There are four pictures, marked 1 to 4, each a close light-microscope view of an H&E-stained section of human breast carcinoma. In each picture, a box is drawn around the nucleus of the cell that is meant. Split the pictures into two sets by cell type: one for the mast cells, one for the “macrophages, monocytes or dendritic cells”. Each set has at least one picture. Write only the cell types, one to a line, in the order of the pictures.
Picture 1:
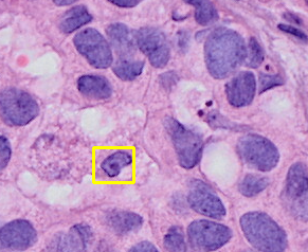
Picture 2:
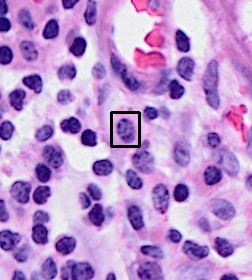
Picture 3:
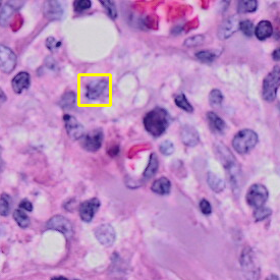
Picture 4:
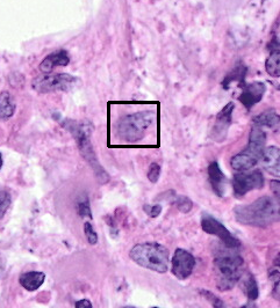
macrophage, monocyte or dendritic cell
mast cell
macrophage, monocyte or dendritic cell
macrophage, monocyte or dendritic cell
